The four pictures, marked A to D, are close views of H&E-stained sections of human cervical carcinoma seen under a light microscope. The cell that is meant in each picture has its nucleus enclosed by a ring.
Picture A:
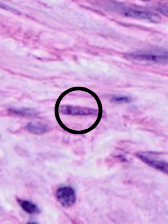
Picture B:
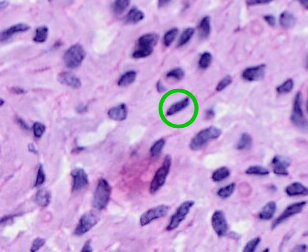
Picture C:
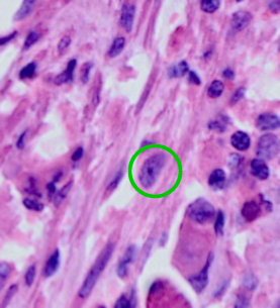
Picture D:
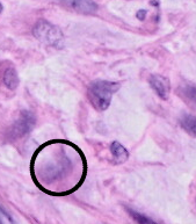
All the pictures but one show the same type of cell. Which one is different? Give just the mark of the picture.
C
